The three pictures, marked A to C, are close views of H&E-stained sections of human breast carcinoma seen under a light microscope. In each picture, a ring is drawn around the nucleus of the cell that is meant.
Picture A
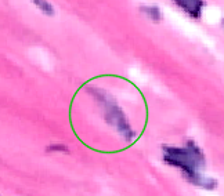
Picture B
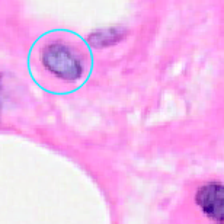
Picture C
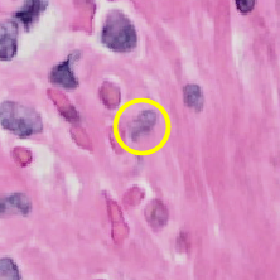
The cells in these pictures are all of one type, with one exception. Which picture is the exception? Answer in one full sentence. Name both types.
Picture A is the odd one out: it shows a fibroblast, while the others show endothelial cells.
